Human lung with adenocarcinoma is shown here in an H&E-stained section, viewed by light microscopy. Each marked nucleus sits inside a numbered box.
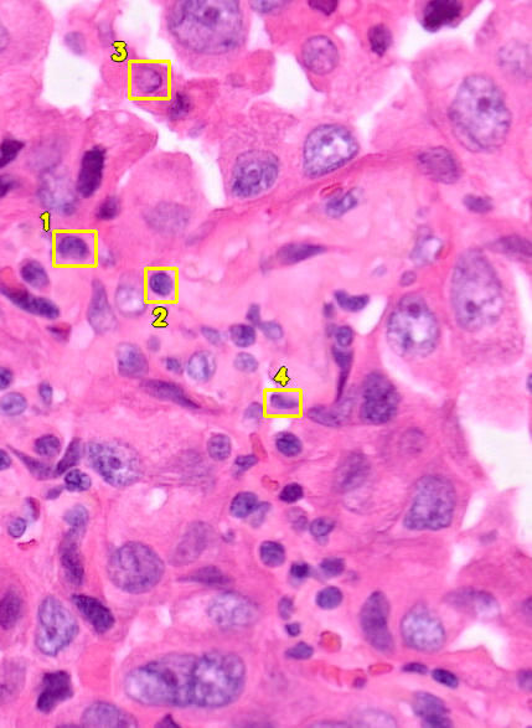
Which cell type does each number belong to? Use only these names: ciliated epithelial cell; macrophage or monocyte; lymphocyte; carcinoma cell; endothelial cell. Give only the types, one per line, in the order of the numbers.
lymphocyte
lymphocyte
macrophage or monocyte
lymphocyte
